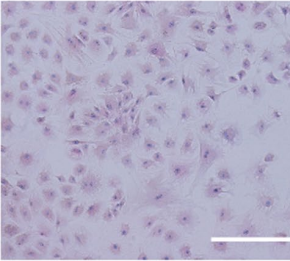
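Most cells lie apart from one another and are polygonal or rounded, each with a darker purple nucleus in the middle of a paler cytoplasm. Some cells send out short, thin processes at their corners. Between the cells the dish surface is left empty.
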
